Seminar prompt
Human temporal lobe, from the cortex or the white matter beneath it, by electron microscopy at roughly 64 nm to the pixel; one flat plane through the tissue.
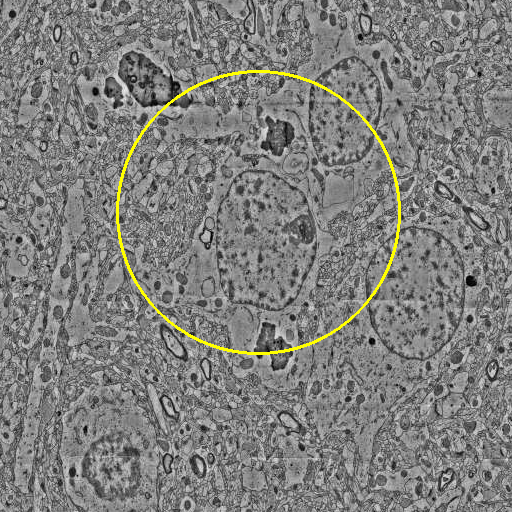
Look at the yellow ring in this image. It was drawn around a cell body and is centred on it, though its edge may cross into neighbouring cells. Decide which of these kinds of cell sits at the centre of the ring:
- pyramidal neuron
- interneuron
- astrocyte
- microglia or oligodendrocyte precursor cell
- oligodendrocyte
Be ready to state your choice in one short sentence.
The kind of cell at the ring's centre is an astrocyte.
